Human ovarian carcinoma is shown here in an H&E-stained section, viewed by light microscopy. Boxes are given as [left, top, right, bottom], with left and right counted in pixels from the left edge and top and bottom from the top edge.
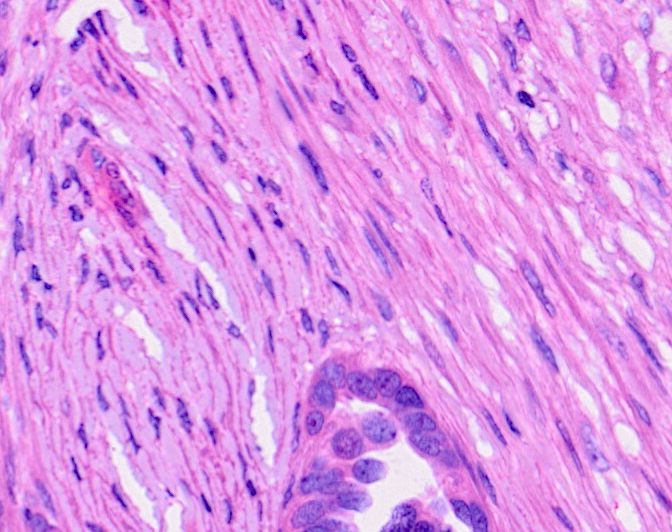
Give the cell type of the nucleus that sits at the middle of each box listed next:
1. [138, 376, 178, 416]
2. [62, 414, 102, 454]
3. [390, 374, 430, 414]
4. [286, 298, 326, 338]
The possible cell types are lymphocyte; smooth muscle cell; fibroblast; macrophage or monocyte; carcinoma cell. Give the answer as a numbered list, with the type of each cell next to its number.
1. fibroblast
2. fibroblast
3. carcinoma cell
4. fibroblast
